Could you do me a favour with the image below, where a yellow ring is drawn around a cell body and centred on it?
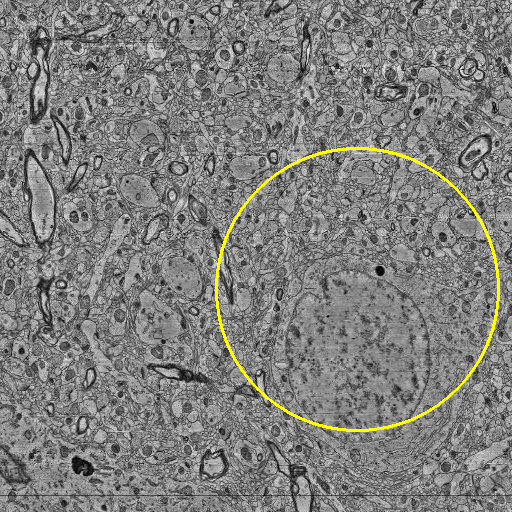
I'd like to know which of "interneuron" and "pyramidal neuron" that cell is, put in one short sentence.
The cell at the ring's centre is an interneuron.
